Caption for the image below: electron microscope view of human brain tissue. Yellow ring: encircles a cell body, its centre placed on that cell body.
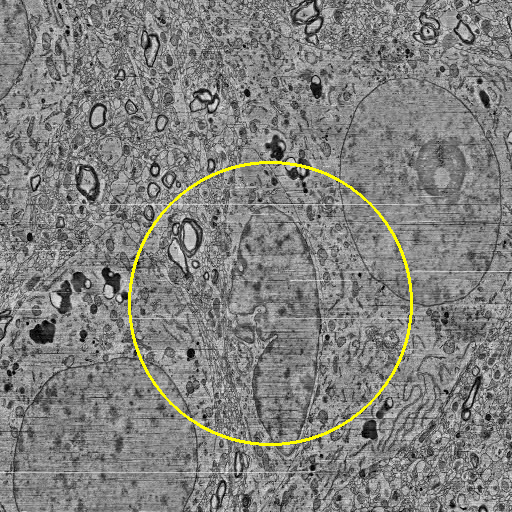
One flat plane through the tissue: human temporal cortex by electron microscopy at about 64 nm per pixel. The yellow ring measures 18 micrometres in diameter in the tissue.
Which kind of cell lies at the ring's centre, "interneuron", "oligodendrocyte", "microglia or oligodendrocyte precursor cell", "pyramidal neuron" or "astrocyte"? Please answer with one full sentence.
The picture shows a microglial cell or oligodendrocyte precursor cell at the centre of the yellow ring.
